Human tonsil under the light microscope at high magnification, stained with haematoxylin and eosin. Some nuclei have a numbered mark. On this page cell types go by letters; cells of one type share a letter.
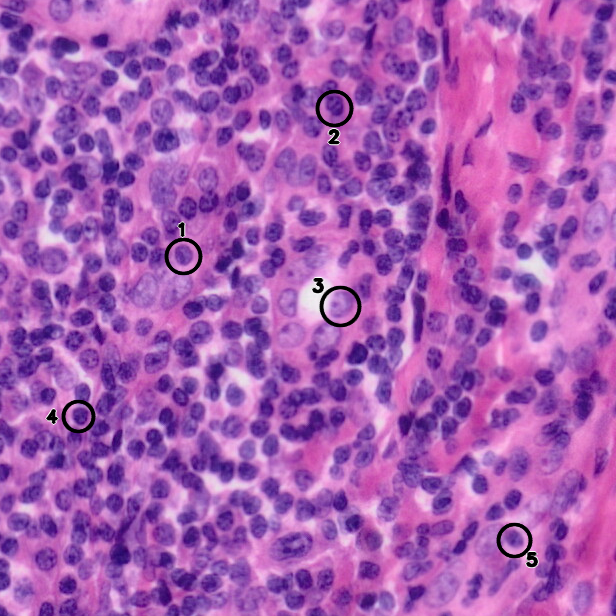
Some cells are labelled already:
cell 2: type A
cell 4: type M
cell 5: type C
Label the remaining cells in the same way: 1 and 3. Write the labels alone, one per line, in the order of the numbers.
type C
type C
